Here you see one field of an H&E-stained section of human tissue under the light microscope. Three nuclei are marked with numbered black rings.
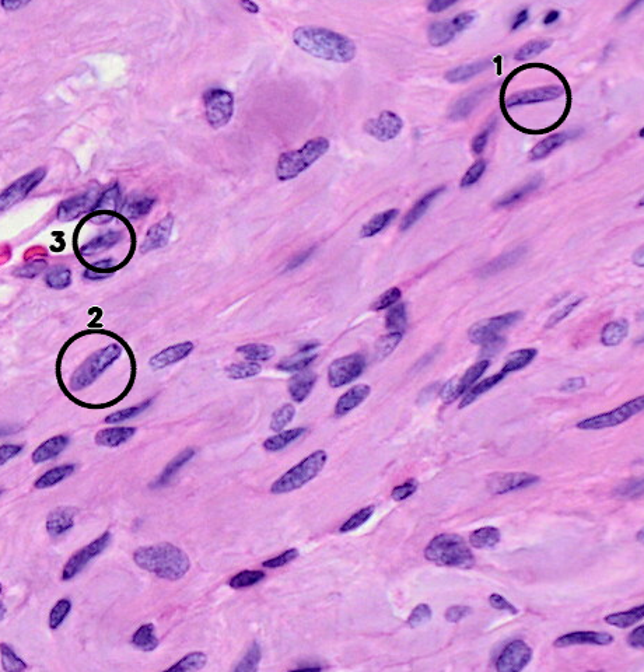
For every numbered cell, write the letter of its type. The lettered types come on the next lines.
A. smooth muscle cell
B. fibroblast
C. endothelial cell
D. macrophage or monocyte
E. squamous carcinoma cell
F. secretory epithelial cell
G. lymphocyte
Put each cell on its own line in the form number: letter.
1: B
2: B
3: C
